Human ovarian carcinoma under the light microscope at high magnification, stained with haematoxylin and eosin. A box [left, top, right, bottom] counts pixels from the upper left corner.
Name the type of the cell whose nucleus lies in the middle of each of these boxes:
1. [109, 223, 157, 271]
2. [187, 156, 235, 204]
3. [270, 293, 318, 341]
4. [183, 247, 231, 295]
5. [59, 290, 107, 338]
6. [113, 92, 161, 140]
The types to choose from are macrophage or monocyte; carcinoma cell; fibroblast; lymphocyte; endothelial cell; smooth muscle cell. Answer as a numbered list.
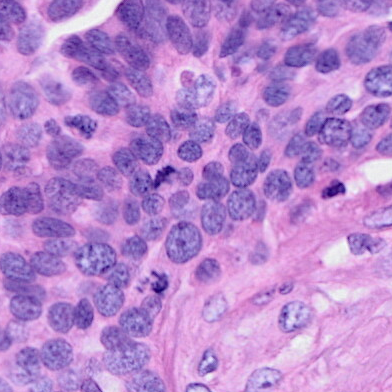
1. carcinoma cell
2. carcinoma cell
3. fibroblast
4. macrophage or monocyte
5. carcinoma cell
6. carcinoma cell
